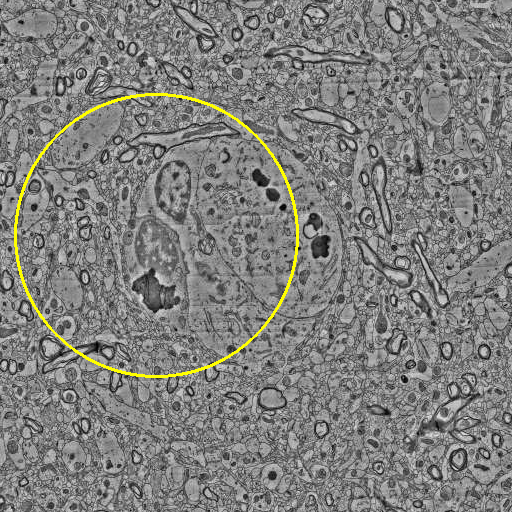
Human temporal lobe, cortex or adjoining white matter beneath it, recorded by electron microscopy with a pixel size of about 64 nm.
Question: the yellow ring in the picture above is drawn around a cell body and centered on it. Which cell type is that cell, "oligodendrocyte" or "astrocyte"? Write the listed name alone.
oligodendrocyte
